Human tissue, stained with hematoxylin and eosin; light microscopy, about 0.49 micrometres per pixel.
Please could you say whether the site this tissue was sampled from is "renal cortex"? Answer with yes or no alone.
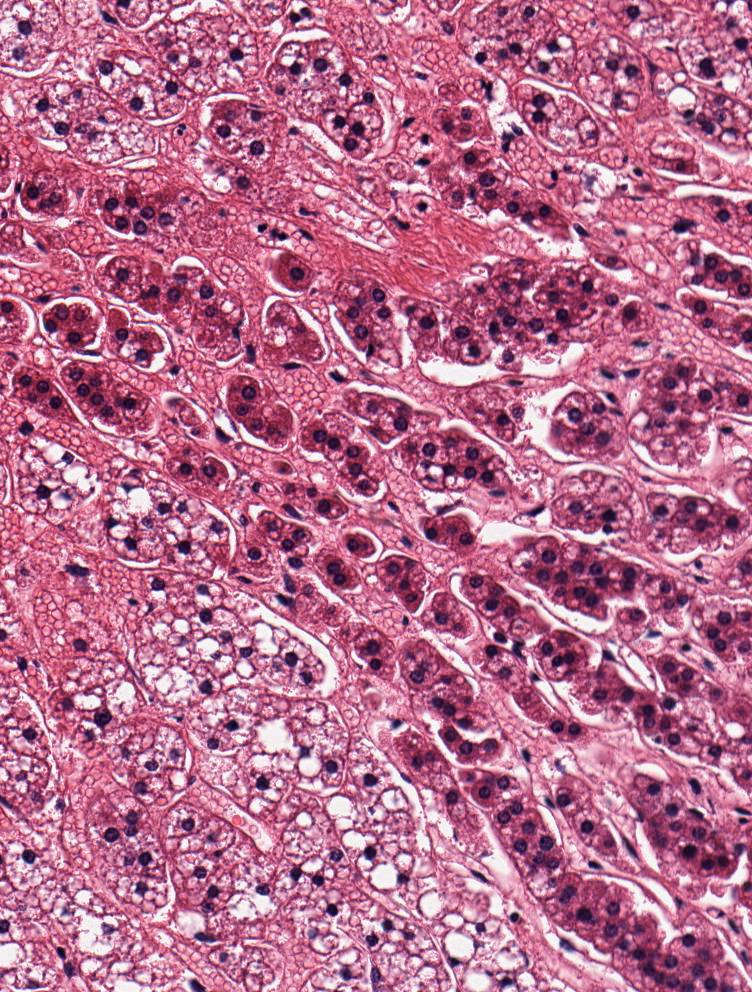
no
